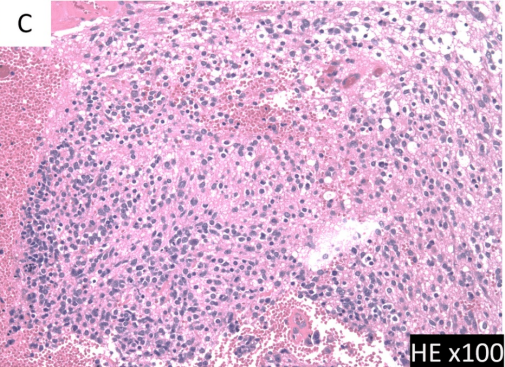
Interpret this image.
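This high-power view shows a tumor tissue made of many small cells with round, dark-staining nuclei and little cytoplasm, crowded most densely along the left side. Toward the centre and right the cells lie more loosely in a pale pink, finely fibrillary background, and some cells there have more pink cytoplasm. Pools of red blood cells lie at the left edge and at the bottom.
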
